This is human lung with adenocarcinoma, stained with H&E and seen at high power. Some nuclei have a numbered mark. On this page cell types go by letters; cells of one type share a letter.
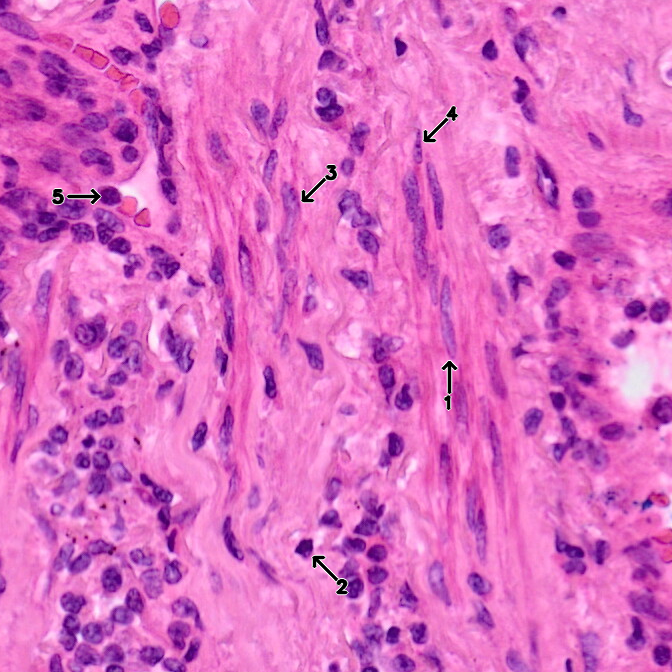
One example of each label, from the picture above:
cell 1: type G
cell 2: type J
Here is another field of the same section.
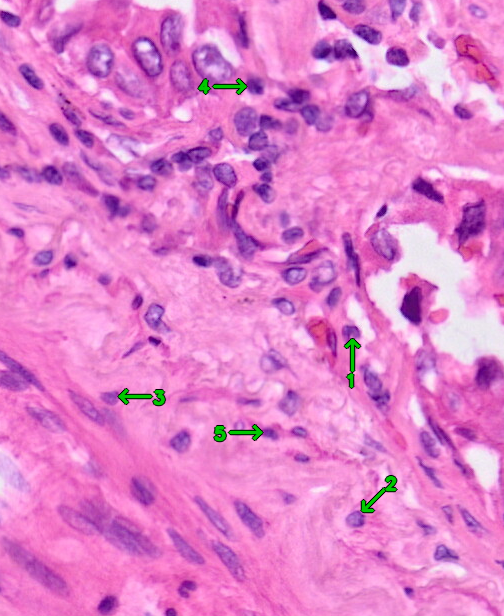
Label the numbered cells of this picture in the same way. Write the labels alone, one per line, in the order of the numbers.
type J
type G
type G
type J
type G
